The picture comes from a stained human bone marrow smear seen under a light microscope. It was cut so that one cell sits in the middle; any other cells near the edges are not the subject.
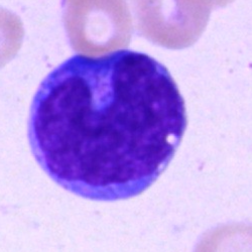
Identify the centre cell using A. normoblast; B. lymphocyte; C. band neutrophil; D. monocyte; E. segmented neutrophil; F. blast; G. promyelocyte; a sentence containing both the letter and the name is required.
Identified correctly by option D, the cell in the middle is a monocyte.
